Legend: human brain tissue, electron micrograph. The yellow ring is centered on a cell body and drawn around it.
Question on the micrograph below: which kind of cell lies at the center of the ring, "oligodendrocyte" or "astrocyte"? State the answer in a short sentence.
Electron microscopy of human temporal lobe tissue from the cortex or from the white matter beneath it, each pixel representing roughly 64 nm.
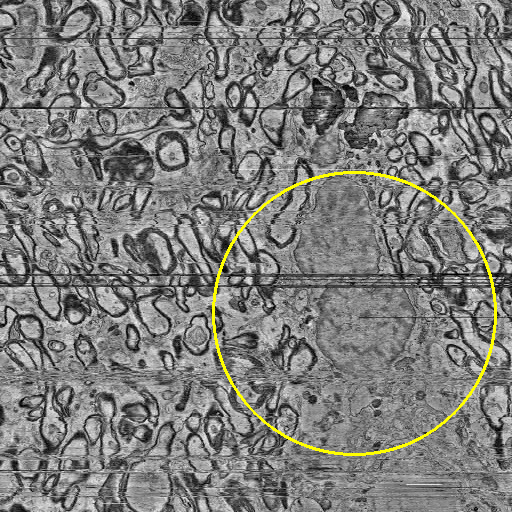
At the center of the ring lies an oligodendrocyte.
